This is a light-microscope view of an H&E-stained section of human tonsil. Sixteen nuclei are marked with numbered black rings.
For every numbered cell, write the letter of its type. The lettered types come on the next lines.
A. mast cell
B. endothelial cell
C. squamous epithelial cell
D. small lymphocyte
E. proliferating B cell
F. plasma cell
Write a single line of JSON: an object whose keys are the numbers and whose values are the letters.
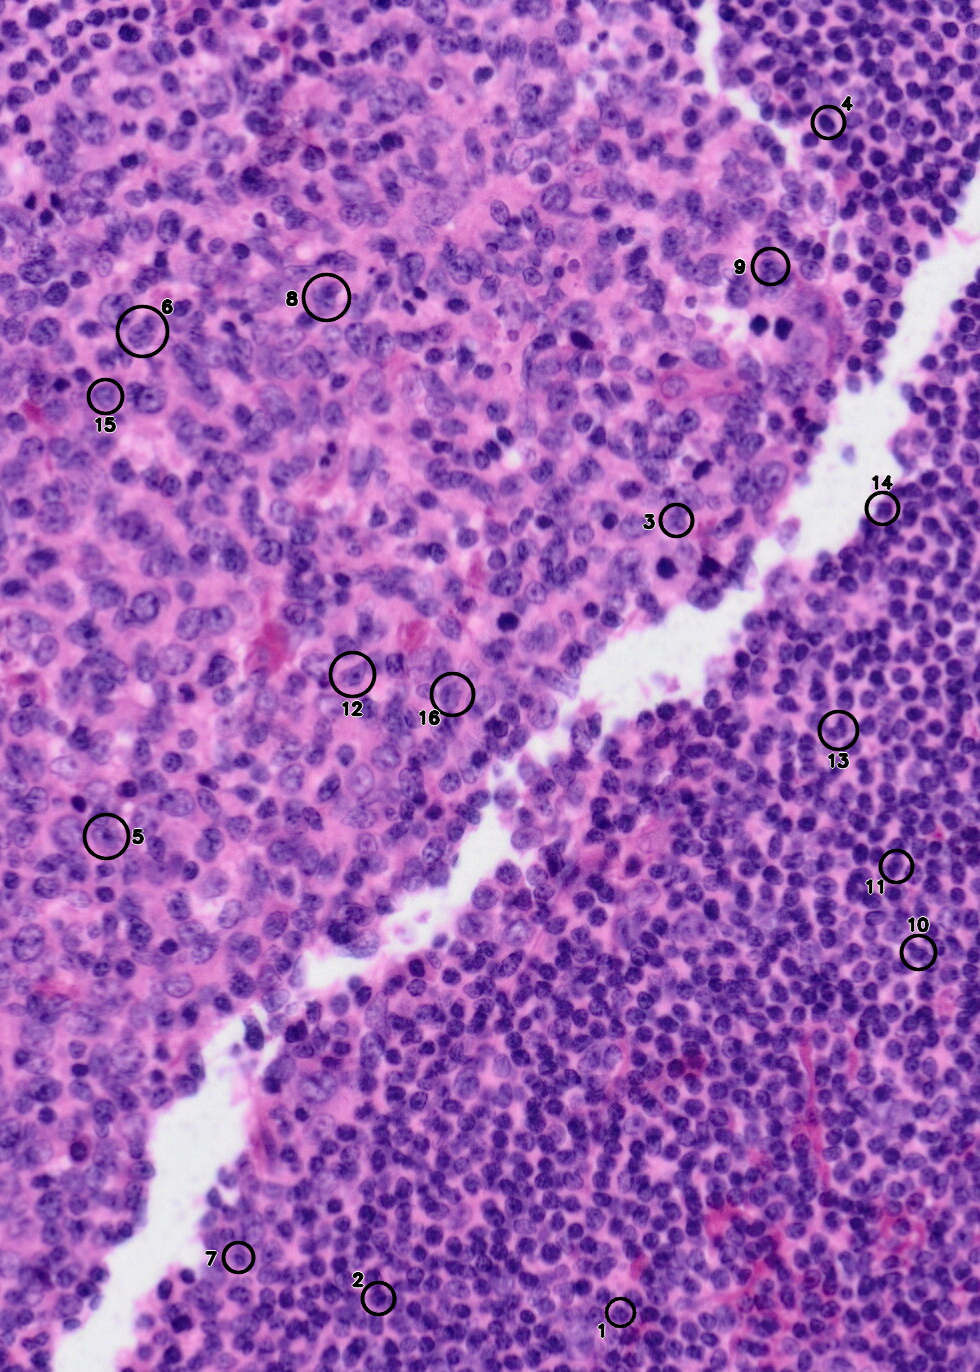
{"1": "D", "2": "D", "3": "E", "4": "D", "5": "E", "6": "E", "7": "E", "8": "E", "9": "E", "10": "D", "11": "D", "12": "E", "13": "D", "14": "D", "15": "E", "16": "E"}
